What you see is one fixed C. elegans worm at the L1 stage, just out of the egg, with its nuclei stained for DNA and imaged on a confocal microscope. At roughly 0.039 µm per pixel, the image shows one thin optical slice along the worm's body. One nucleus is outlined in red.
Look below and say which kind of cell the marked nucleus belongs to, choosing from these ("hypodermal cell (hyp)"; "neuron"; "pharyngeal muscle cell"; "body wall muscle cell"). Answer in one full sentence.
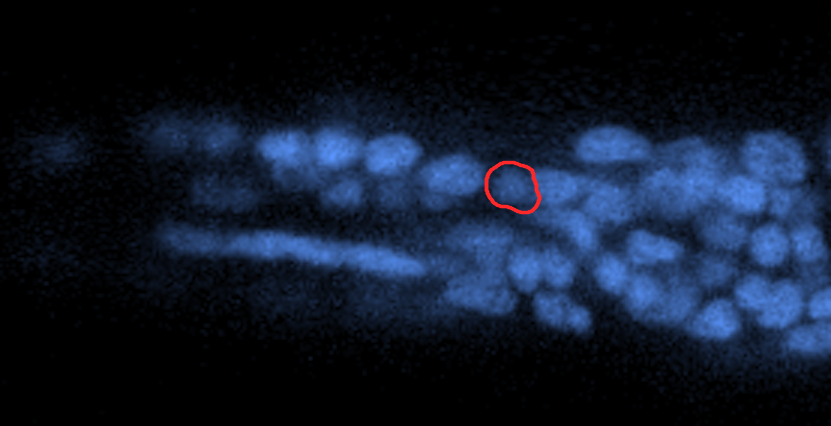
This is the nucleus of a hypodermal cell (hyp).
